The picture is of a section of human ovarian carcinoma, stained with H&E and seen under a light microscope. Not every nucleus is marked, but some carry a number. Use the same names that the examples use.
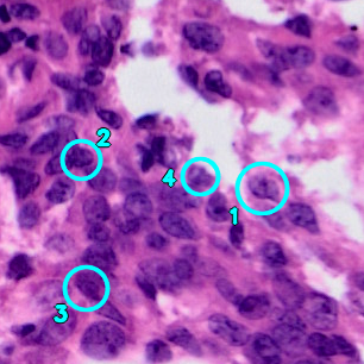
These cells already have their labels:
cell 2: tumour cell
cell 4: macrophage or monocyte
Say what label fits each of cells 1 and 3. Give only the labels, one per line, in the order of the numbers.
macrophage or monocyte
tumour cell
